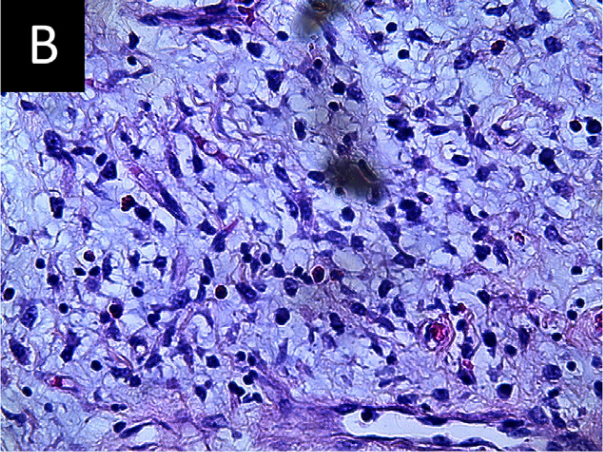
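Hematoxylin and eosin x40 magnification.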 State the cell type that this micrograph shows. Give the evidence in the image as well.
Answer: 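Spindle-to-stellate shaped cells. Many cells have elongated or angular dark nuclei. Cells are fairly uniform and loosely spaced.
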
